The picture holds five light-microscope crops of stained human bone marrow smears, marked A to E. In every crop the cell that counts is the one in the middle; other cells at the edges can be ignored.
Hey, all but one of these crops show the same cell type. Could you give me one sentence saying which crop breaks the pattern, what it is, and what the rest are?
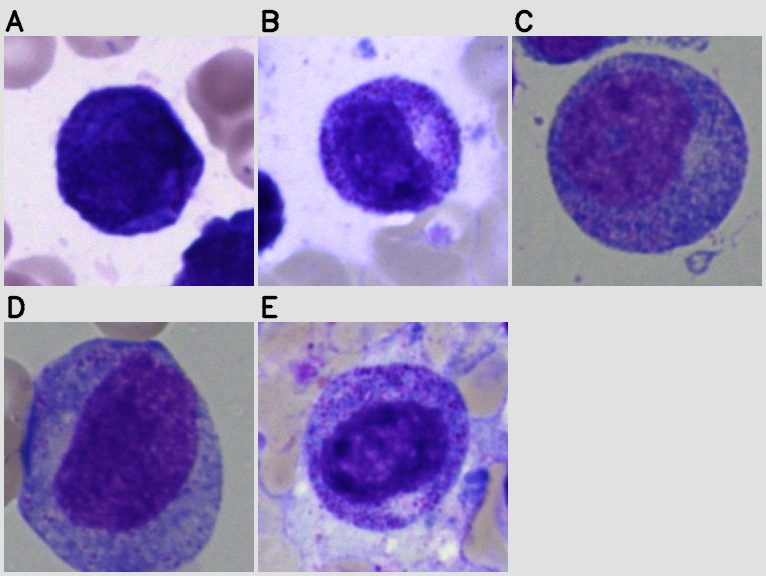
All of the other crops show promyelocytes, while crop A shows a blast instead.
